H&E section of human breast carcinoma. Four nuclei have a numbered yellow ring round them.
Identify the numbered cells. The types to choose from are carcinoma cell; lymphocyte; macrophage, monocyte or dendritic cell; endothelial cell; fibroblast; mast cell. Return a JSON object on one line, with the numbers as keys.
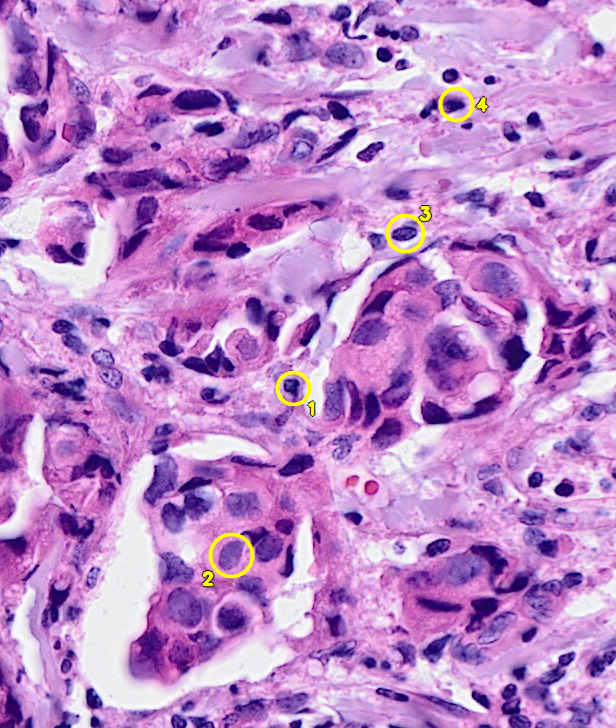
{"1": "lymphocyte", "2": "carcinoma cell", "3": "lymphocyte", "4": "lymphocyte"}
